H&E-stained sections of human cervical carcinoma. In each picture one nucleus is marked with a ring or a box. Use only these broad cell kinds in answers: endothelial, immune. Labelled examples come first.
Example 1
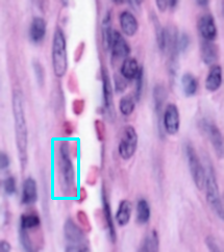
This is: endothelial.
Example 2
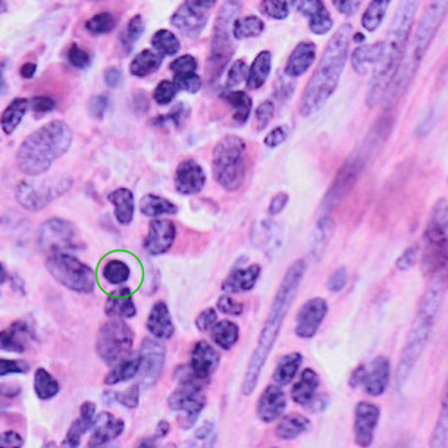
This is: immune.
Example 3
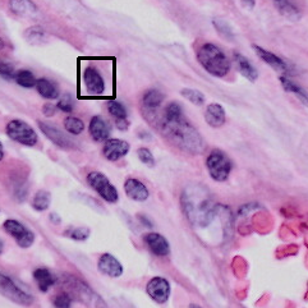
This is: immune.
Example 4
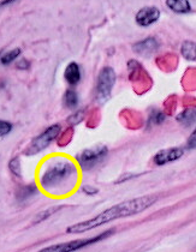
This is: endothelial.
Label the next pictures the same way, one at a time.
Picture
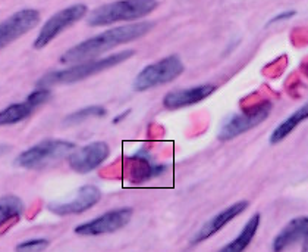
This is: endothelial.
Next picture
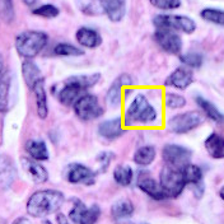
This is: immune.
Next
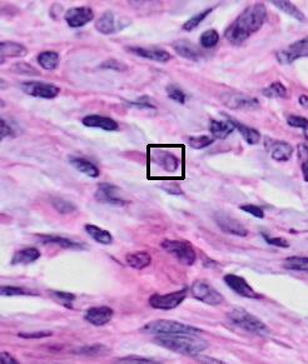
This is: immune.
